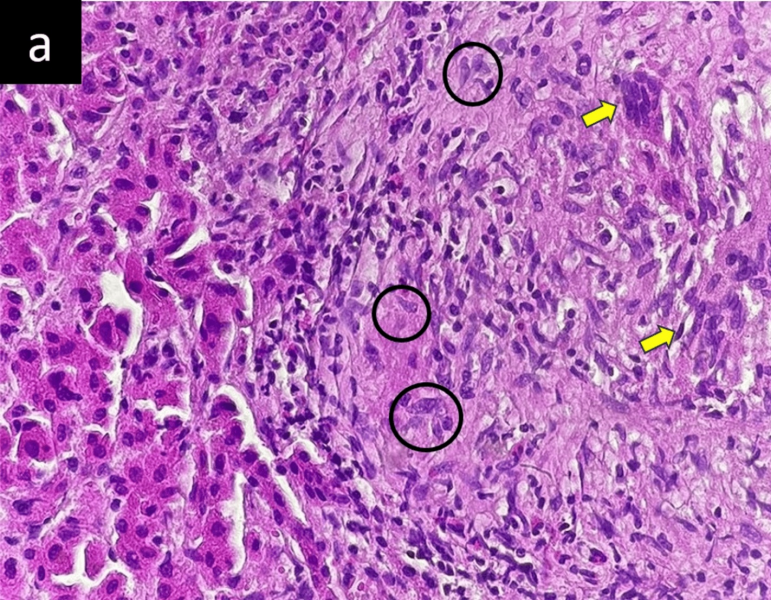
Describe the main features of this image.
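Liver with a granuloma next to plates of polygonal hepatocytes with round nuclei and pink cytoplasm. The granuloma holds epithelioid cells with elongated pale curved nuclei and ample pale pink cytoplasm, multinucleated giant cells with clustered nuclei, and a rim of small dark lymphocytes toward the hepatocytes. No necrotic centre is to be seen.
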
